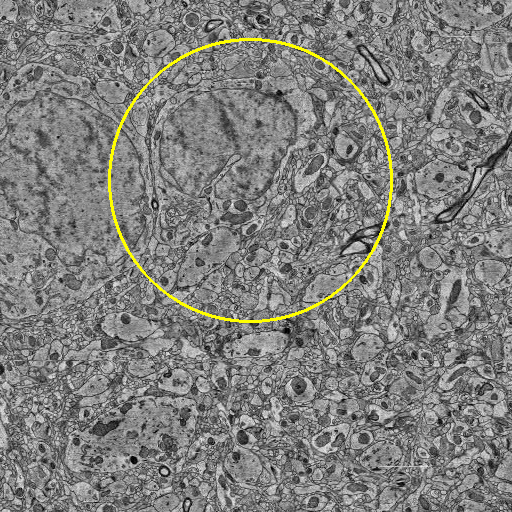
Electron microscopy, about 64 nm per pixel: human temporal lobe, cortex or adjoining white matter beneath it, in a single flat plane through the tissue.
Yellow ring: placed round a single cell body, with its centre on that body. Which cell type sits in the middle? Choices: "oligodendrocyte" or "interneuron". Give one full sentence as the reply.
It is an interneuron whose cell body sits at the centre of the yellow ring.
